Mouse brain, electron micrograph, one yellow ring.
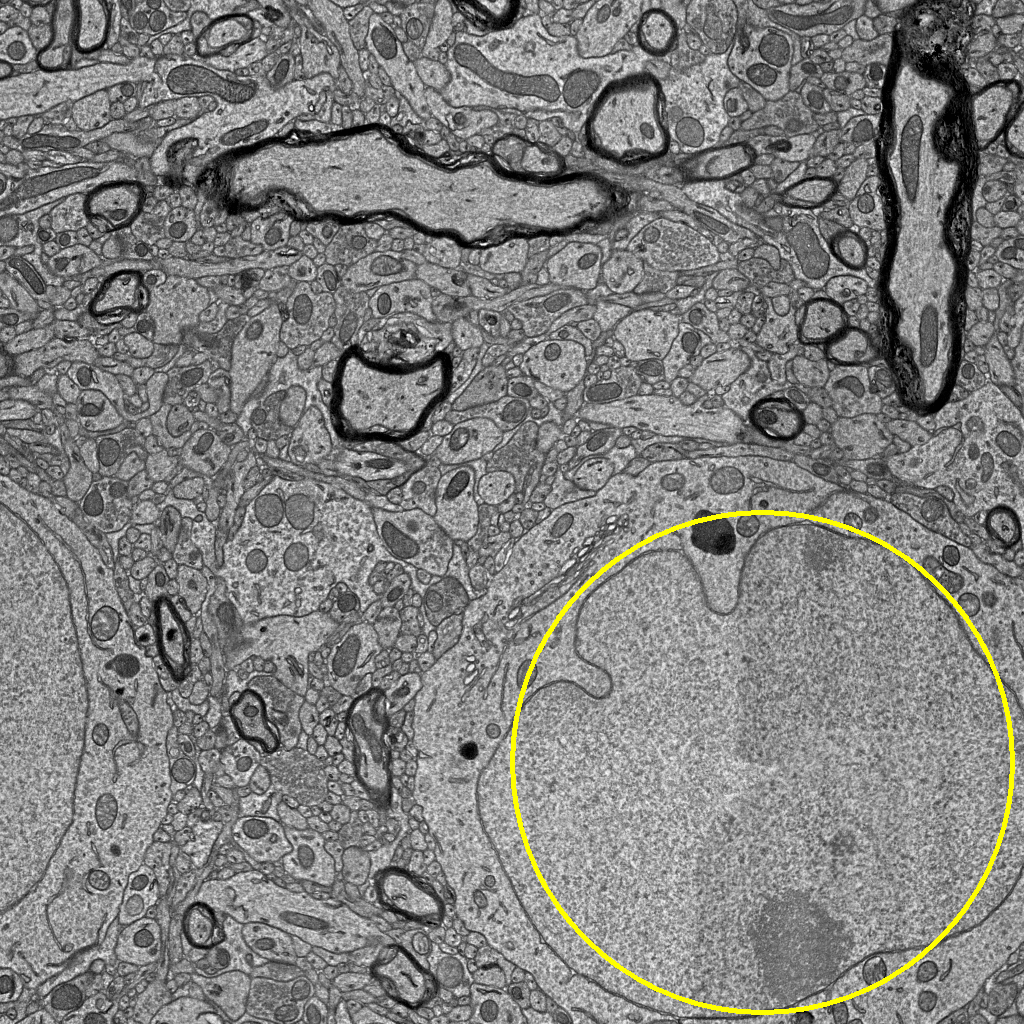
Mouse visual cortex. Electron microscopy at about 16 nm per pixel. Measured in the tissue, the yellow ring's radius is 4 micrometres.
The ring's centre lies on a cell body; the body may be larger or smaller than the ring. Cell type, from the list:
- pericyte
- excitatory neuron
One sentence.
The yellow ring's centre lies on an excitatory neuron.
